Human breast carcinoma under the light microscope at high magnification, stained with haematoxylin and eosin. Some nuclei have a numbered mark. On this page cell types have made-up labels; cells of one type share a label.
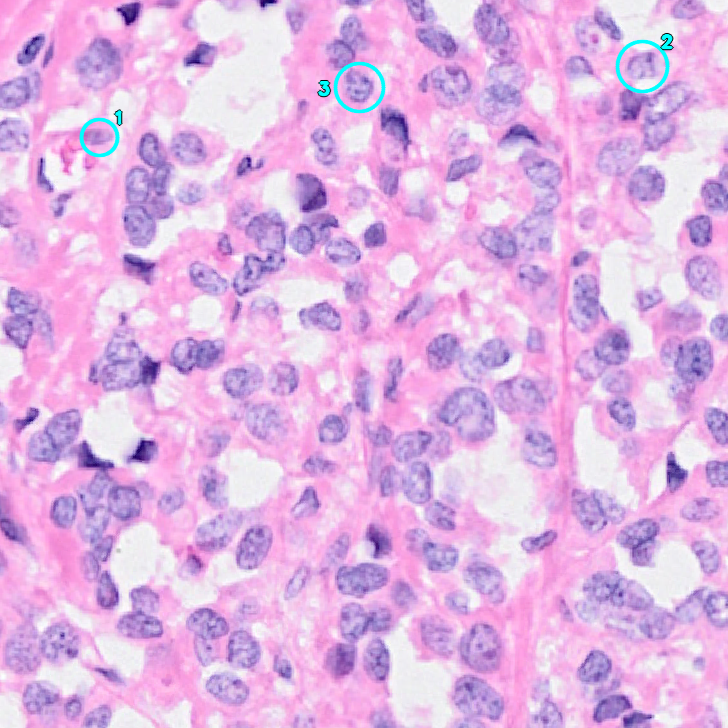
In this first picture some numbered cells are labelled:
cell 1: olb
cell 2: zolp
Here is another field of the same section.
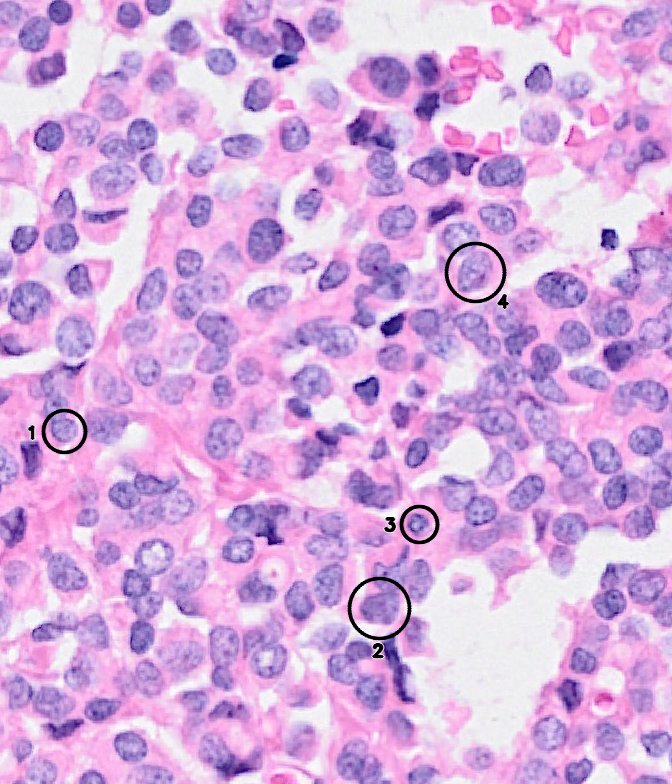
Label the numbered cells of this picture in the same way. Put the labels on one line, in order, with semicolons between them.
zolp; zolp; olb; zolp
